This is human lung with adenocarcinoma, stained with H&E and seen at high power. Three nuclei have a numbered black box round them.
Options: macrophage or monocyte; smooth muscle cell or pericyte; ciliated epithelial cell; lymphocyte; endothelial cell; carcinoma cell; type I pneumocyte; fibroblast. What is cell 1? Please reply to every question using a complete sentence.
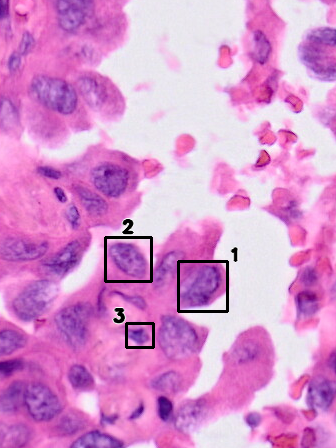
Cell 1 in the field of view is a carcinoma cell.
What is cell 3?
Here, the cell given the number 3 is a lymphocyte.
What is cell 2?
In this section, number 2 marks a carcinoma cell.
